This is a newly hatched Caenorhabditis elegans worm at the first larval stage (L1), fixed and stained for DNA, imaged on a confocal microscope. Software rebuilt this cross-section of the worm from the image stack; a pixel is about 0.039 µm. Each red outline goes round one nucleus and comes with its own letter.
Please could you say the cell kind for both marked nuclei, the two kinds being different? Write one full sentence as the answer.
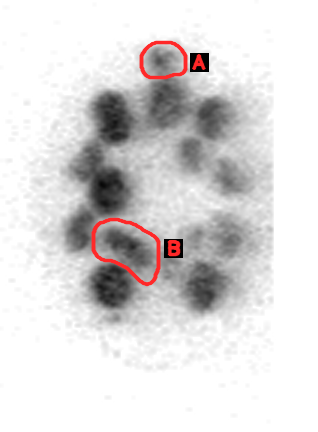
A belongs to a hypodermal cell (hyp) and B to a neuron.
